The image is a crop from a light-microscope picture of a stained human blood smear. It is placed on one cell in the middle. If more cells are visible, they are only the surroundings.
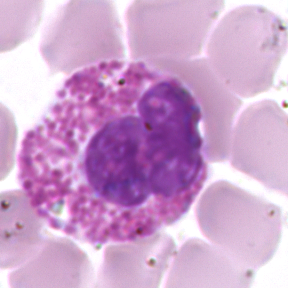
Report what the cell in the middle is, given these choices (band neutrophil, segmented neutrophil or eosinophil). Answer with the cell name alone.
eosinophil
